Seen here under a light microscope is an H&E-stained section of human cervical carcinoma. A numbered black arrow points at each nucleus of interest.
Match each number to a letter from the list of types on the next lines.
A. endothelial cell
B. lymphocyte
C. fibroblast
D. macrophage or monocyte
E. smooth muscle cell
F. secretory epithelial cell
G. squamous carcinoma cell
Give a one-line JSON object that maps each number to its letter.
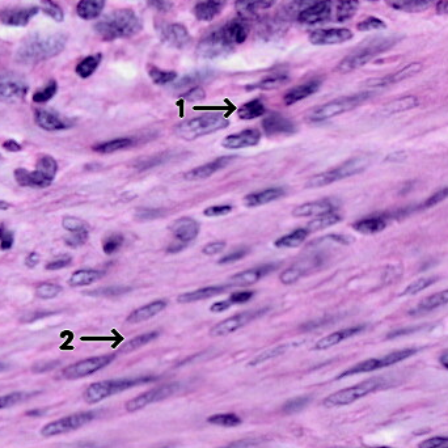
{"1": "B", "2": "E"}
